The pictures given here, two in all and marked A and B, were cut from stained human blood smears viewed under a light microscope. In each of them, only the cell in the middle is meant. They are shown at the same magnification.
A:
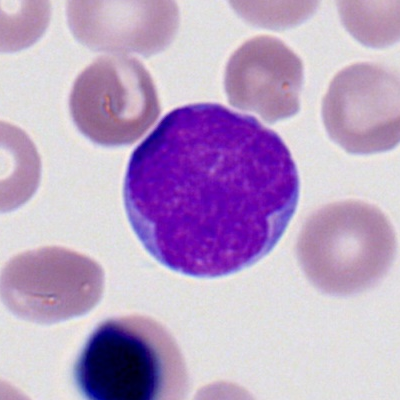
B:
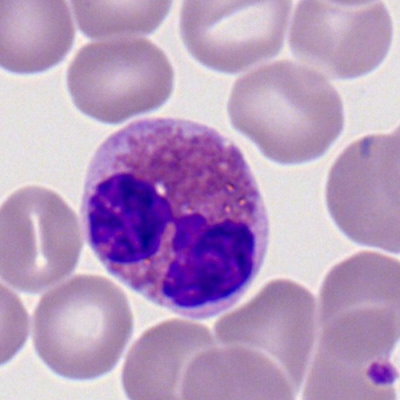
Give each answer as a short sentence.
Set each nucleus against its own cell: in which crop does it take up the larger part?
It is the cell in crop A that is filled more by its nucleus.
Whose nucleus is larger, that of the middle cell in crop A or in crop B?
Crop A shows the larger nucleus; it covers about 1.5 times the area of the nucleus in crop B.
